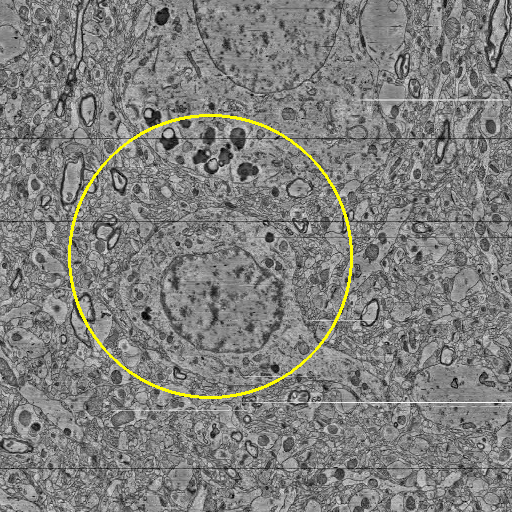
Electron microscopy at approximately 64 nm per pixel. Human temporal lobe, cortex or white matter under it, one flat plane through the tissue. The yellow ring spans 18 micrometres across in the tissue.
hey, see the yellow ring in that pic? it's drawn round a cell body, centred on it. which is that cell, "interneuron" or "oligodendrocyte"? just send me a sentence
The cell in the ring is an interneuron.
